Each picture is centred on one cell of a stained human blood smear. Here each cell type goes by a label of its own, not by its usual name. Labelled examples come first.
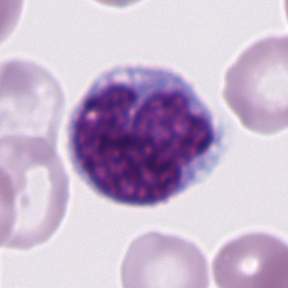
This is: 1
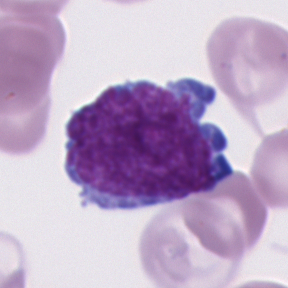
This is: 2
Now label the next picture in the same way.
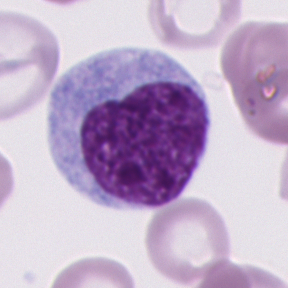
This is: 1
